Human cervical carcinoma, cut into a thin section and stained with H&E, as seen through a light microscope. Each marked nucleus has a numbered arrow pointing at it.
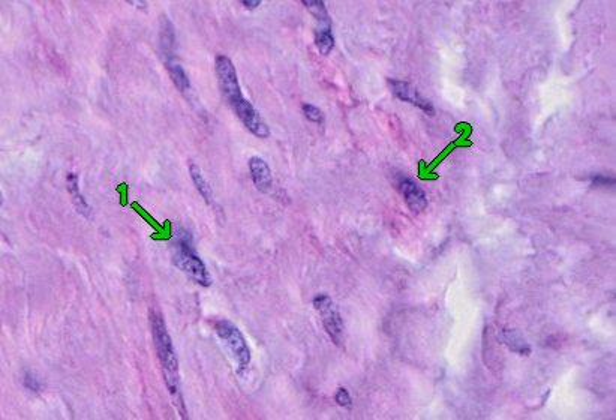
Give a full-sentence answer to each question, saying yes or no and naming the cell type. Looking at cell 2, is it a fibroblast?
No, cell 2 has been misnamed; it is a smooth muscle cell, not a fibroblast.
